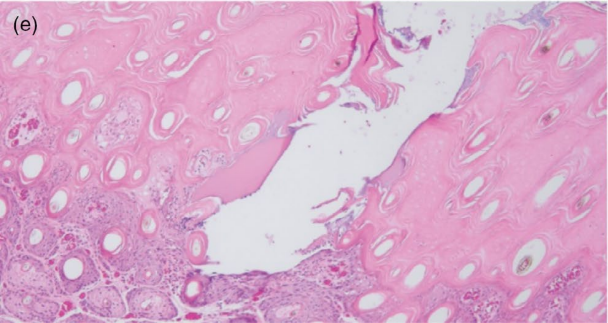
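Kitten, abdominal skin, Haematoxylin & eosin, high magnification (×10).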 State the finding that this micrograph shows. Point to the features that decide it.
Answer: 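A deep cleft splits the thick dense pink keratin layers. The cleft reaches down toward the underlying tissue. The answer: keratin fissure.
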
